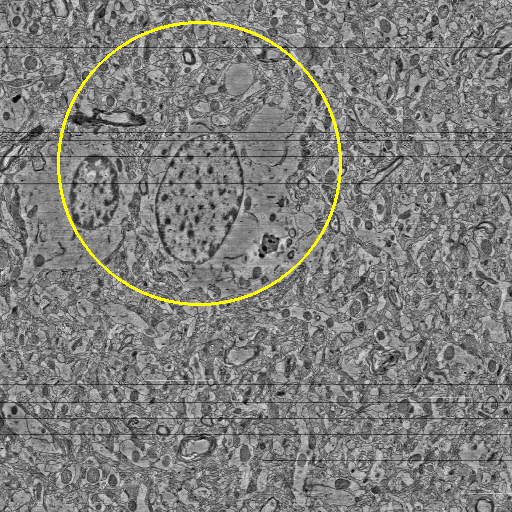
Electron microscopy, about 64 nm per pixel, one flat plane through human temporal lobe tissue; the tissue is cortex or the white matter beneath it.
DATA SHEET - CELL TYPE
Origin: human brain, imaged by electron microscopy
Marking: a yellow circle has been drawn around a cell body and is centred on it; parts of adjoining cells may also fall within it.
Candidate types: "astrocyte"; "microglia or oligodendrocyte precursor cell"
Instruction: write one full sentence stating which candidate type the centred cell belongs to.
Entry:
The cell body at the centre of the yellow ring in this micrograph belongs to an astrocyte.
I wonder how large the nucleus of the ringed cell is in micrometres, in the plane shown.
In this plane the nucleus measures about 9 by 5 micrometres and is clearly longer than it is wide.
